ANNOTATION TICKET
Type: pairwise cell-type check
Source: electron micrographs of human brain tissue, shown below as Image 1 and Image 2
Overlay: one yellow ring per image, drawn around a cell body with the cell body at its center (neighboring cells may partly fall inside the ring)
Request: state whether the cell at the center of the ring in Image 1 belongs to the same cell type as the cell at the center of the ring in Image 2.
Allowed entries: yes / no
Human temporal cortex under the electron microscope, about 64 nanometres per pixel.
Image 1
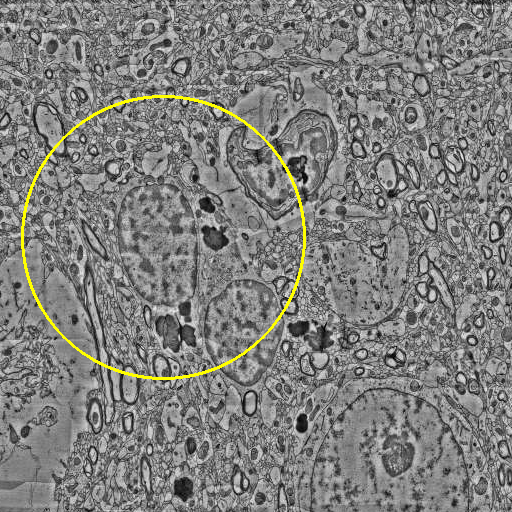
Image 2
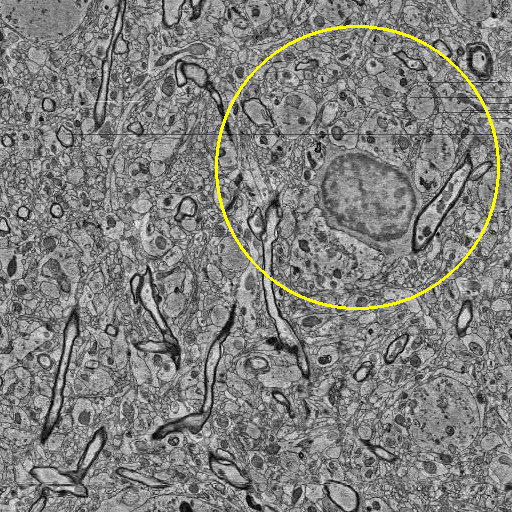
yes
